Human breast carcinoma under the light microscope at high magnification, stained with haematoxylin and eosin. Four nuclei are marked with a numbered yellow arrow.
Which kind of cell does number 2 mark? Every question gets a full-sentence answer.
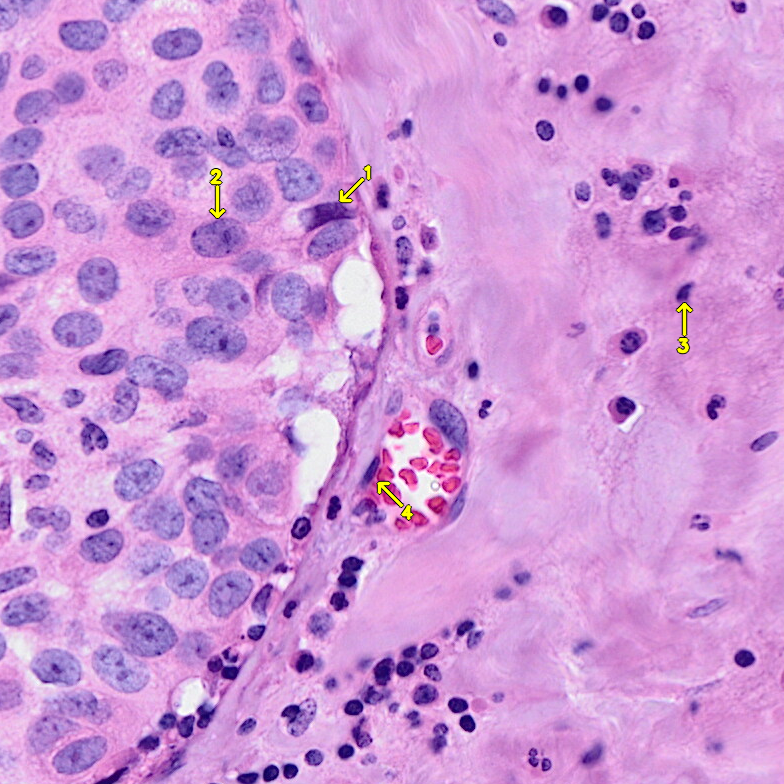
At number 2, the marked cell is a carcinoma cell.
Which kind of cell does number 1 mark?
Cell 1, among those numbered, is a carcinoma cell.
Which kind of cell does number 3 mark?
The cell to which the number 3 is assigned is a lymphocyte.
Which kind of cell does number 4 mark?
As for number 4, that cell is an endothelial cell.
